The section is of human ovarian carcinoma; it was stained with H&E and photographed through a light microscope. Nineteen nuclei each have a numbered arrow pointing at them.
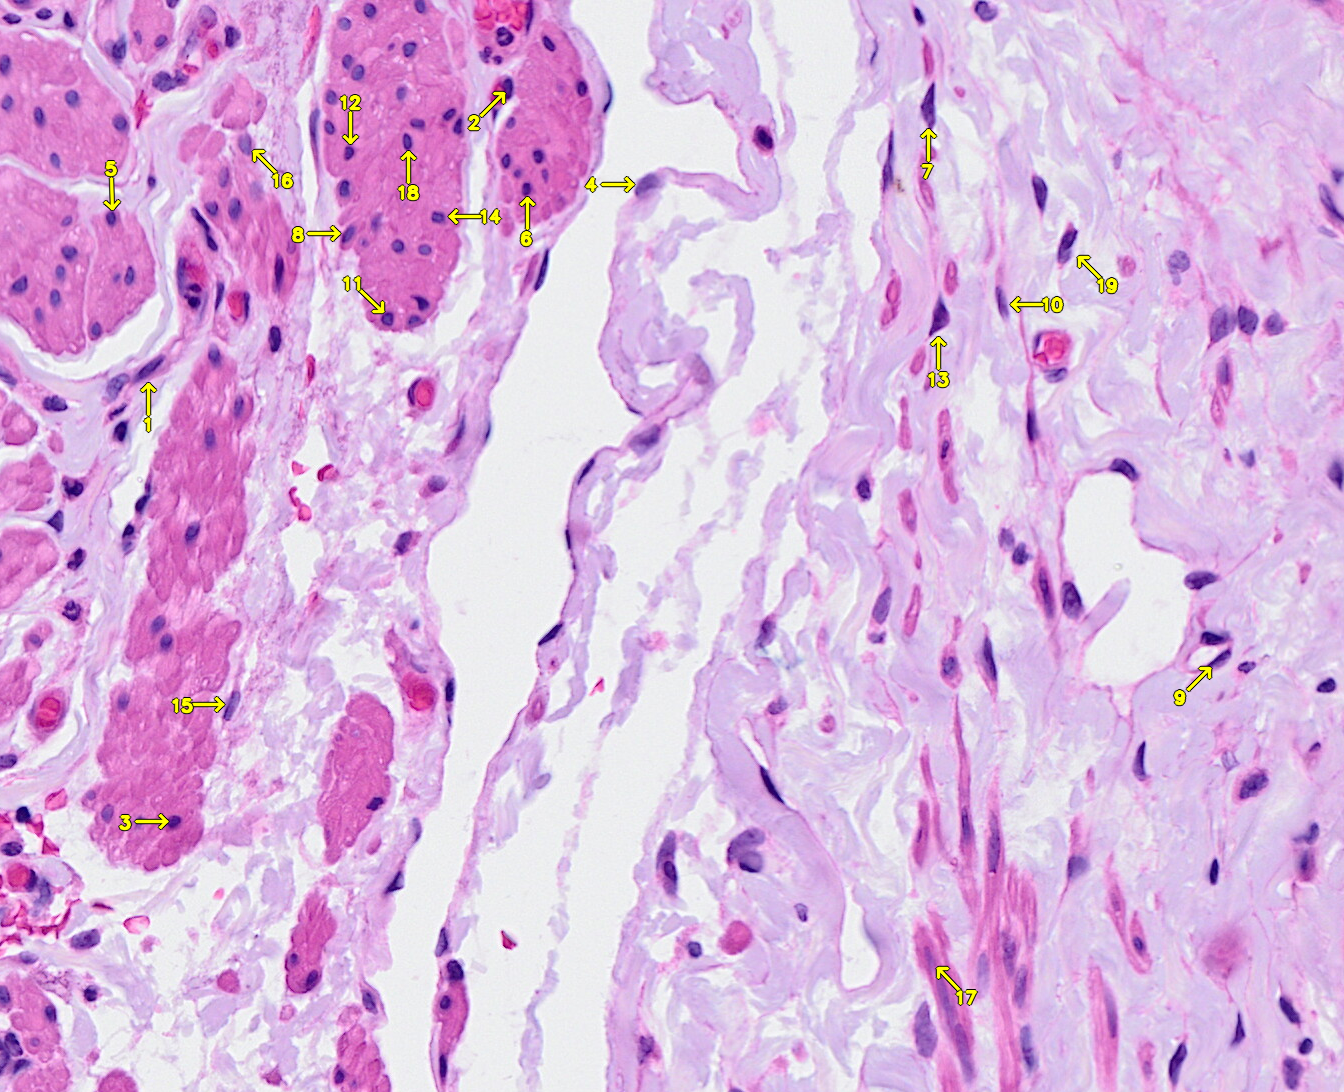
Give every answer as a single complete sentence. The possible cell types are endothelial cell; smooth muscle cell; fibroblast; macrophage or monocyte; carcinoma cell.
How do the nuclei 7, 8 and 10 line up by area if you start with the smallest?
Smallest first, the nuclei run 8, 10, 7.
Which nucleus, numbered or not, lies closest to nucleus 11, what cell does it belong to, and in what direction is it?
A smooth muscle cell lies closest, to the right of nucleus 11.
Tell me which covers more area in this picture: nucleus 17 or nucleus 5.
Of the two, number 17 is bigger and takes up about 2 times the area of number 5.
